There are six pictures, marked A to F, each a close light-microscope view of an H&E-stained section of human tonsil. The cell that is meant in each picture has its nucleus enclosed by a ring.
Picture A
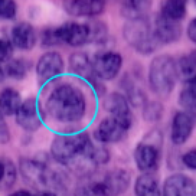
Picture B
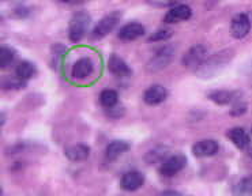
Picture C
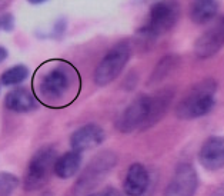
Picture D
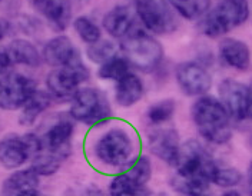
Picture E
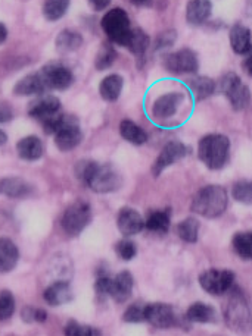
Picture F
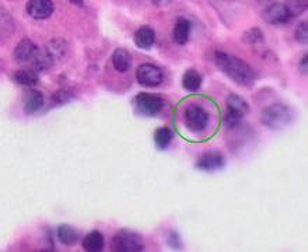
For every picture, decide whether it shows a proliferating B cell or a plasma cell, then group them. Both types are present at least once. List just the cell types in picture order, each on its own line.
proliferating B cell
plasma cell
plasma cell
proliferating B cell
proliferating B cell
plasma cell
